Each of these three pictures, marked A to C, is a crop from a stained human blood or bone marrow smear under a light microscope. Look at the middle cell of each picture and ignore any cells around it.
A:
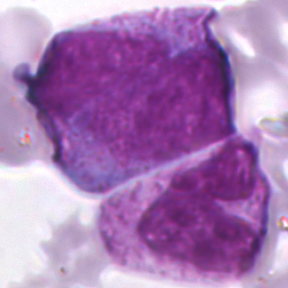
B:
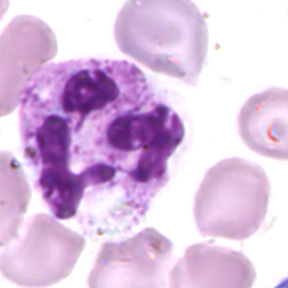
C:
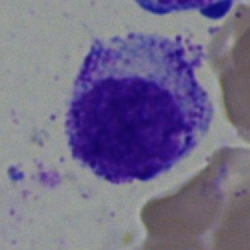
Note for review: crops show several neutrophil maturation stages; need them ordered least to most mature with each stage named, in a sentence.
Along a scale from least to most mature, the order is crop A (a promyelocyte), crop C (a myelocyte) and crop B (a segmented neutrophil).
